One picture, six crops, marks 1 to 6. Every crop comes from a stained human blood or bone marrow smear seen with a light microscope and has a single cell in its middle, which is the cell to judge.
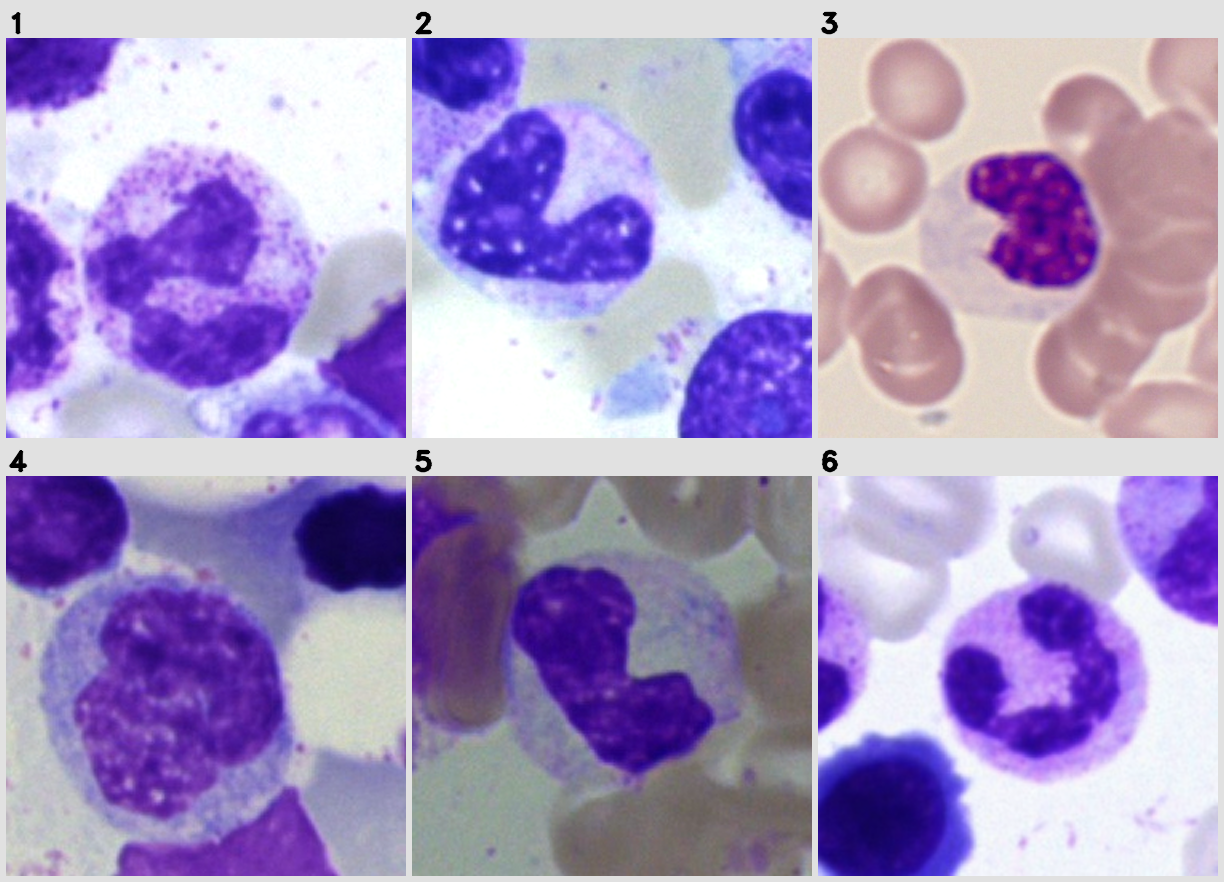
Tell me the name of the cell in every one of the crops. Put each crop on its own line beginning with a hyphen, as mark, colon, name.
- 1: segmented neutrophil
- 2: band neutrophil
- 3: band neutrophil
- 4: monocyte
- 5: band neutrophil
- 6: segmented neutrophil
